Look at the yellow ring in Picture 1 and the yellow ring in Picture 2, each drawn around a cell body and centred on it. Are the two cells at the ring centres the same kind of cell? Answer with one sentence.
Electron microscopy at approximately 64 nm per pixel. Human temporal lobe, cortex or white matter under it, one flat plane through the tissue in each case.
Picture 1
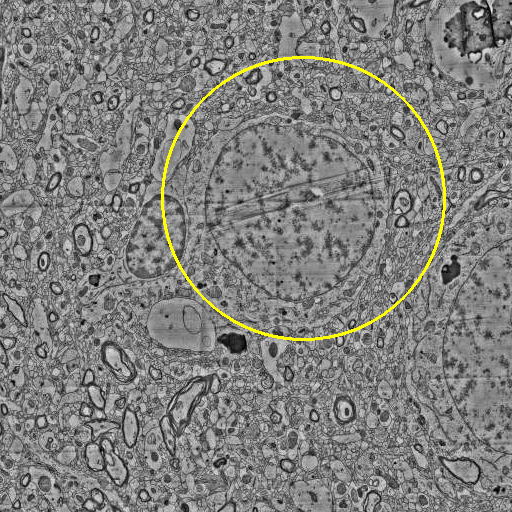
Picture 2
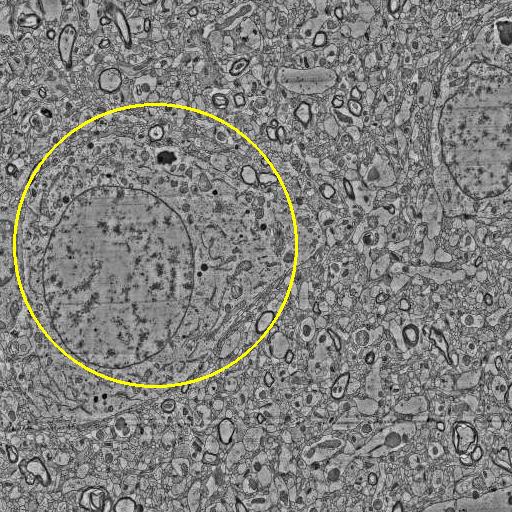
Yes, both are the same kind of cell.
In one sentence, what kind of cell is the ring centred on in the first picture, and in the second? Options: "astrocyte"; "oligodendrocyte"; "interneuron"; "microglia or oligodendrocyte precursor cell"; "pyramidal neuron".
Both the first and the second picture show a pyramidal neuron in the ring.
